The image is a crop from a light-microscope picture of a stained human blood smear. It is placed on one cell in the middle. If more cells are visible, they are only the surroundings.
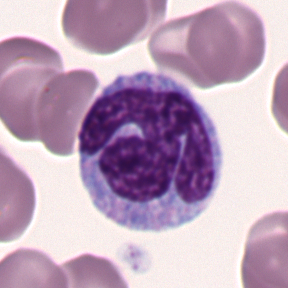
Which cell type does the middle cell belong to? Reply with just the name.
monocyte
